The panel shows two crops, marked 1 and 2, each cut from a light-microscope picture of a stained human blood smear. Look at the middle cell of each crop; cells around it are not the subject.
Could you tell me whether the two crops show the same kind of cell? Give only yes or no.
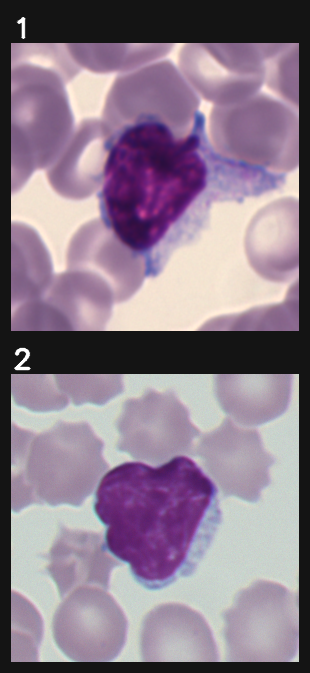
yes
